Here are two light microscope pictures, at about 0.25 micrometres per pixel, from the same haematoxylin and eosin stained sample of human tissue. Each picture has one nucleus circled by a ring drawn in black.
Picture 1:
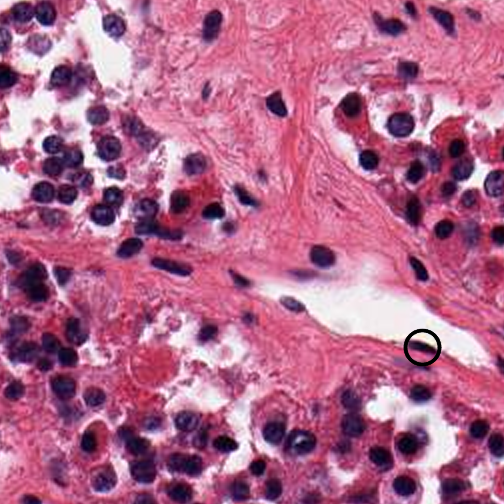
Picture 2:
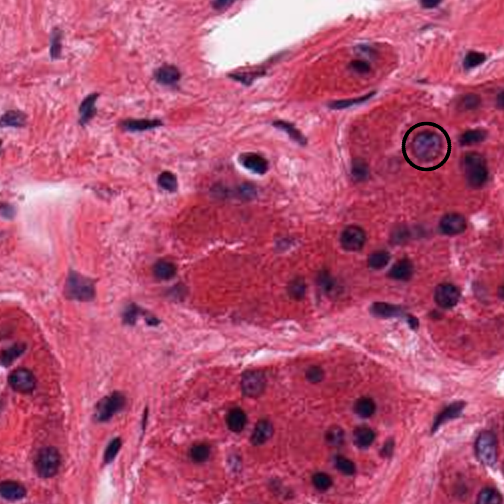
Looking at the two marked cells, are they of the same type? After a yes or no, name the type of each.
No, the first is an endothelial cell and the second an anterior pituitary cell.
